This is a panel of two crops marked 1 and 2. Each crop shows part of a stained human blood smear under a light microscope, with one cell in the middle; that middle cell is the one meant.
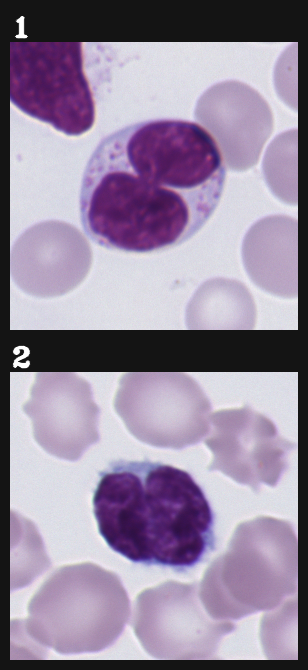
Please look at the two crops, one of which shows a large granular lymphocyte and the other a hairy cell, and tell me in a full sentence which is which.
The cell centred in crop 1 is a large granular lymphocyte, while the one centred in crop 2 is a hairy cell.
